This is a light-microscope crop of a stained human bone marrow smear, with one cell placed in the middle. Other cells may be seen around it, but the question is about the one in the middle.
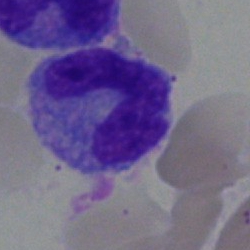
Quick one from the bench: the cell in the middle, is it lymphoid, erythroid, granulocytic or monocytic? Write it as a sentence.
The cell at the middle of this crop is assigned to the monocytic lineage.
